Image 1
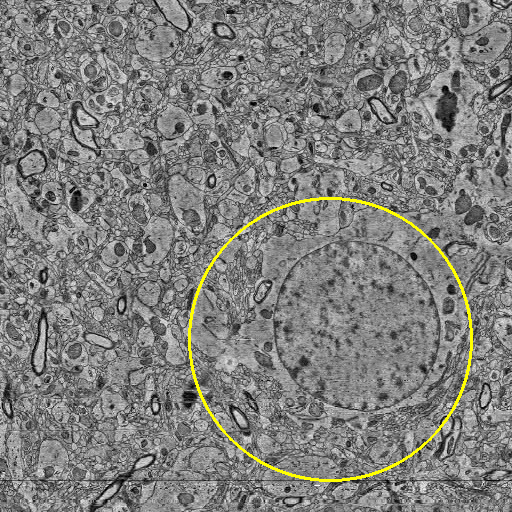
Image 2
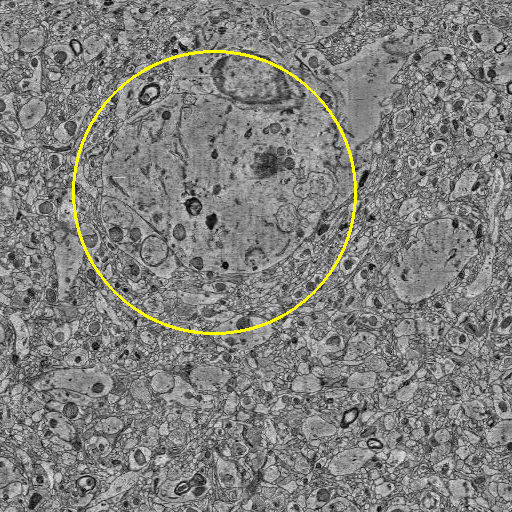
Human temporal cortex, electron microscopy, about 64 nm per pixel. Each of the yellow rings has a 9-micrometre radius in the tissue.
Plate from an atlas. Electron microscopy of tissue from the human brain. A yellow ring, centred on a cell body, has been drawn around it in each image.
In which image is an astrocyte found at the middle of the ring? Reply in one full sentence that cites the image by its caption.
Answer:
The requested cell is the one at the ring's centre in Image 1.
